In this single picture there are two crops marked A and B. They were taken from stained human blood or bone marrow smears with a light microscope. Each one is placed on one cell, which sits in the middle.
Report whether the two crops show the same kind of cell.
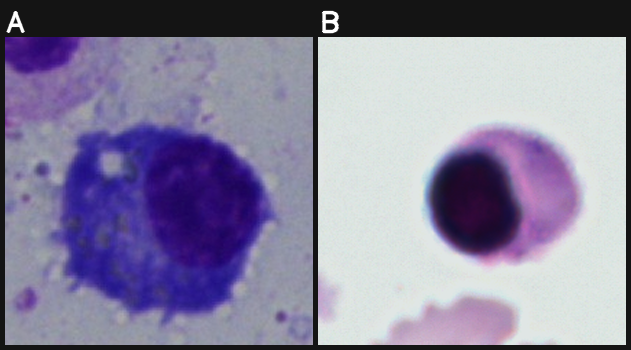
no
